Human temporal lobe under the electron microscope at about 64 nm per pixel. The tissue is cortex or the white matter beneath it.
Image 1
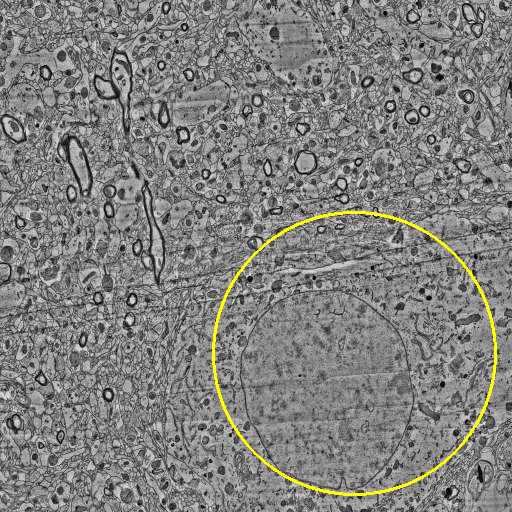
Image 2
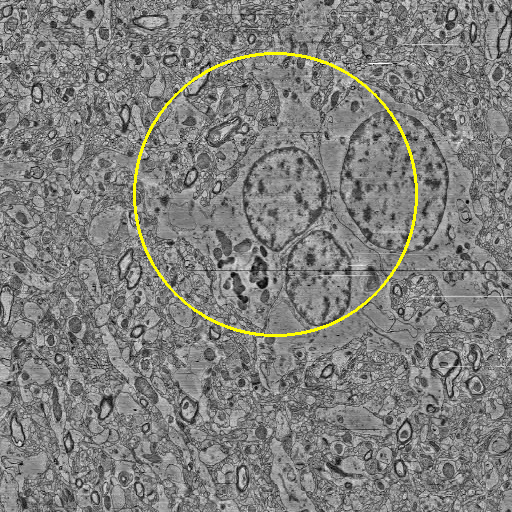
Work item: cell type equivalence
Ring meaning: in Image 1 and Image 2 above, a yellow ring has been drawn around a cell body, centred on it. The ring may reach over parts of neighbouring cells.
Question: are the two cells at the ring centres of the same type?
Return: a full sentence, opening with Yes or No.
No, the two centred cells are of two types.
